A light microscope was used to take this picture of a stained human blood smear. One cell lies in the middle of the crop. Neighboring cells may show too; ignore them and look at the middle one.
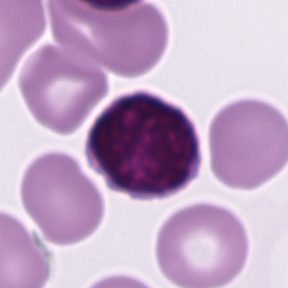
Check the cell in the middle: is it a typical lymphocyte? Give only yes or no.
yes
